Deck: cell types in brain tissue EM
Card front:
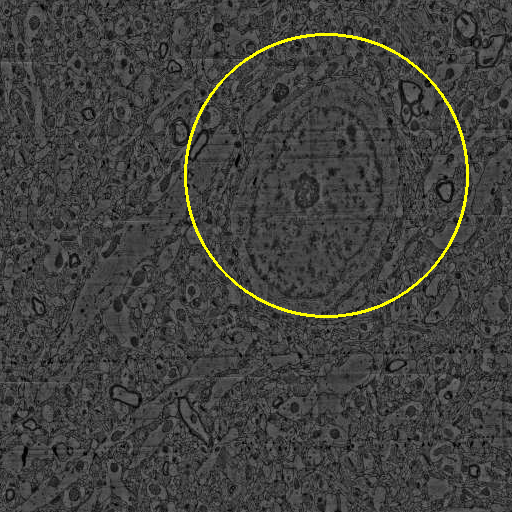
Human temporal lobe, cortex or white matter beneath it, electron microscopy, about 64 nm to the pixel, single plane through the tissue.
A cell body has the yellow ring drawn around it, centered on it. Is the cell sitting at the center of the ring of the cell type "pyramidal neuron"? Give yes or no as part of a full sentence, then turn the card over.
No, on this card the yellow ring is centered on a cell of a different type.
